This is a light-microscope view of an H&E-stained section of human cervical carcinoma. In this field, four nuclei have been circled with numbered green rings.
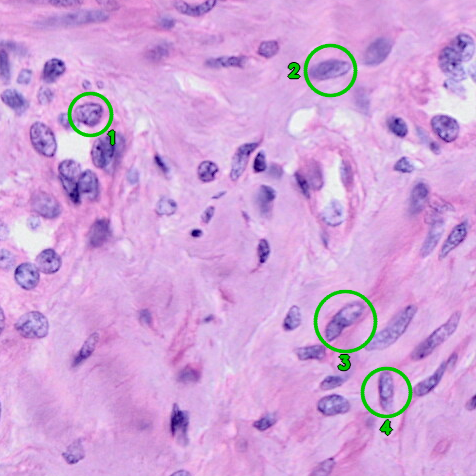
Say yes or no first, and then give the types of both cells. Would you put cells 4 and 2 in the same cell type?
No, classify cell 4 as a smooth muscle cell and cell 2 as a fibroblast.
